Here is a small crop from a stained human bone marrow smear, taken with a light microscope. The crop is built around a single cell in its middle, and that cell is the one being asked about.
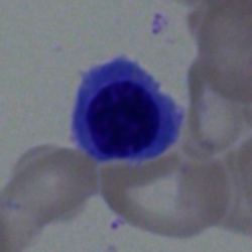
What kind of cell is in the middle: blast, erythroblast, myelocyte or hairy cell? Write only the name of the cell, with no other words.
erythroblast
